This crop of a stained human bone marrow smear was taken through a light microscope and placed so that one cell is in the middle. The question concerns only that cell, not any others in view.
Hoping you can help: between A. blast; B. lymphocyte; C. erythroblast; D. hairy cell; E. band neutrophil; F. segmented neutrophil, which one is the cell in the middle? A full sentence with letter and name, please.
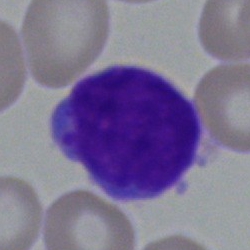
The cell centred in the crop is a blast, and the correct option is thus A.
